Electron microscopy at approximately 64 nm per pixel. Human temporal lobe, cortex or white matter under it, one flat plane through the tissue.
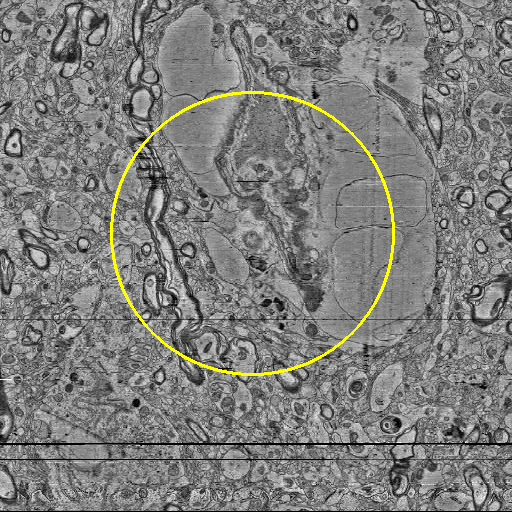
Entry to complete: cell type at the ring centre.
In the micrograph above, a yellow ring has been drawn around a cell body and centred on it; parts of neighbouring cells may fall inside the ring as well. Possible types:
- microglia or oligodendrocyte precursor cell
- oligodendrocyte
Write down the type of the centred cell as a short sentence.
The ring is centred on a microglial cell or oligodendrocyte precursor cell.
